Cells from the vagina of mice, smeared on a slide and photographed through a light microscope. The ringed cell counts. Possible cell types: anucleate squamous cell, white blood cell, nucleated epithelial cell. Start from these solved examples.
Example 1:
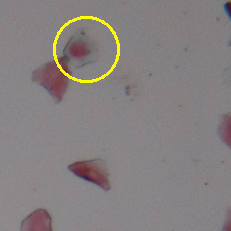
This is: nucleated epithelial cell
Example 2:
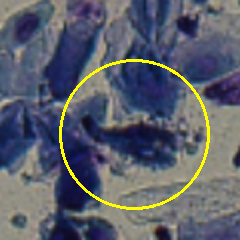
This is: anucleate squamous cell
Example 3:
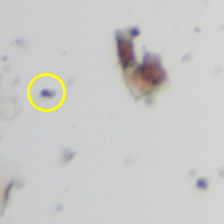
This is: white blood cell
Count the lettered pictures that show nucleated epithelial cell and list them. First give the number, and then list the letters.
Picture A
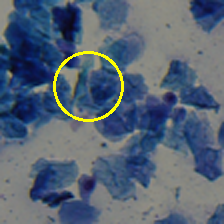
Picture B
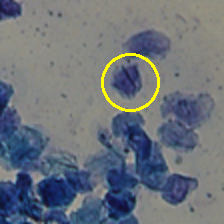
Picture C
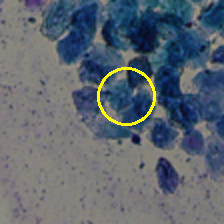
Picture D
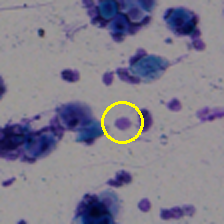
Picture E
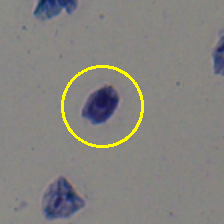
1: E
